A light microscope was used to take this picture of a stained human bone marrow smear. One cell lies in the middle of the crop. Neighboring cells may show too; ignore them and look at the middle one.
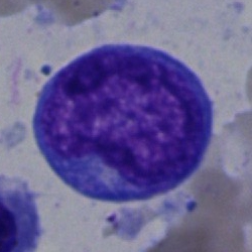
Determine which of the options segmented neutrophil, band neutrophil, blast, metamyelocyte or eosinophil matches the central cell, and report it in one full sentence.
Classified as a blast is the cell in the middle of this crop.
